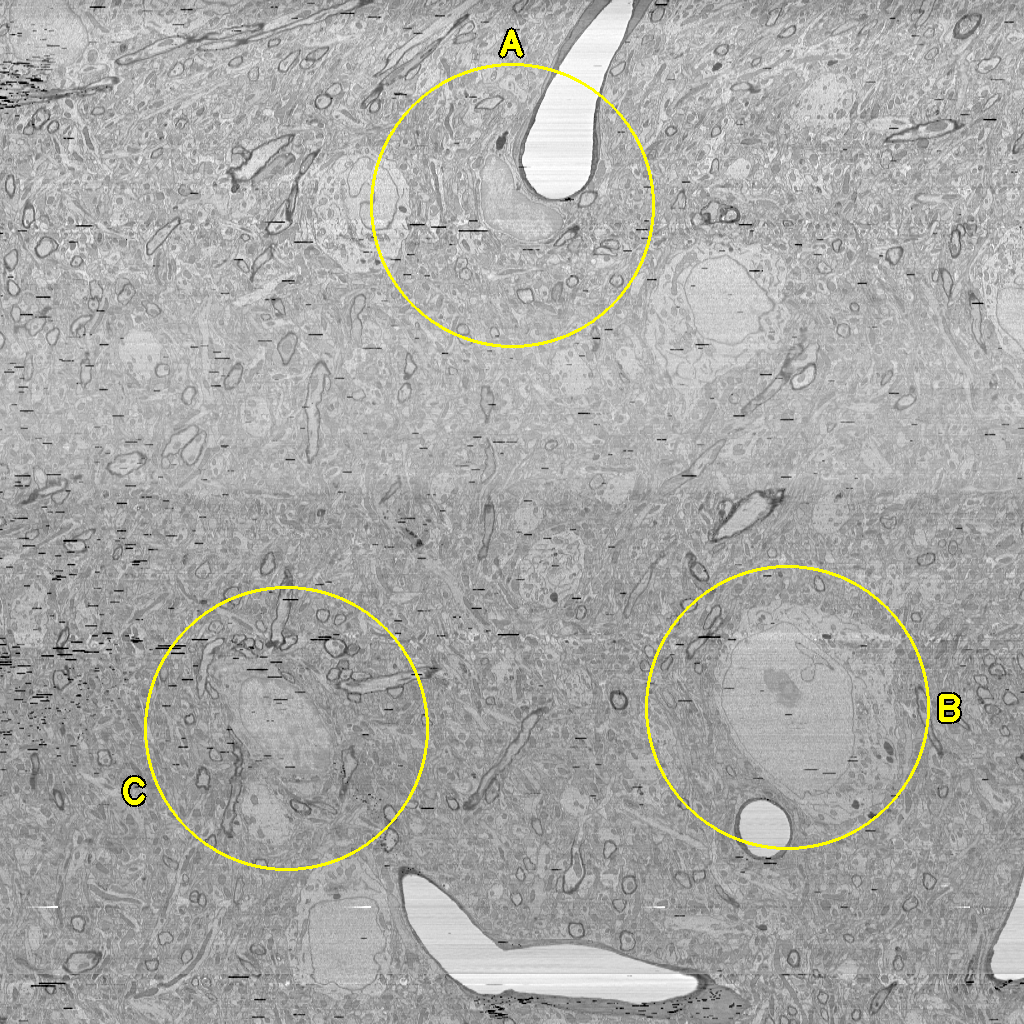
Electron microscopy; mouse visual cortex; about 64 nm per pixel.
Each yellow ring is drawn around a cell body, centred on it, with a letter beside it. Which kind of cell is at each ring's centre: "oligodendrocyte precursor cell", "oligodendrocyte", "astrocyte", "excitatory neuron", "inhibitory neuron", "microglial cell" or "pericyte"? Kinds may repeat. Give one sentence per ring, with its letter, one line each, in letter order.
Ring A is centred on a microglial cell.
Ring B is centred on an excitatory neuron.
Ring C is centred on an oligodendrocyte.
